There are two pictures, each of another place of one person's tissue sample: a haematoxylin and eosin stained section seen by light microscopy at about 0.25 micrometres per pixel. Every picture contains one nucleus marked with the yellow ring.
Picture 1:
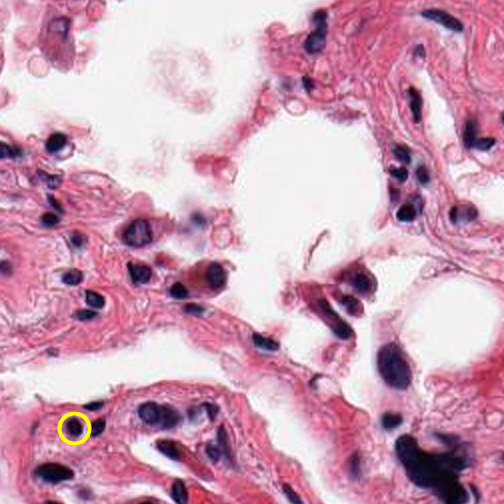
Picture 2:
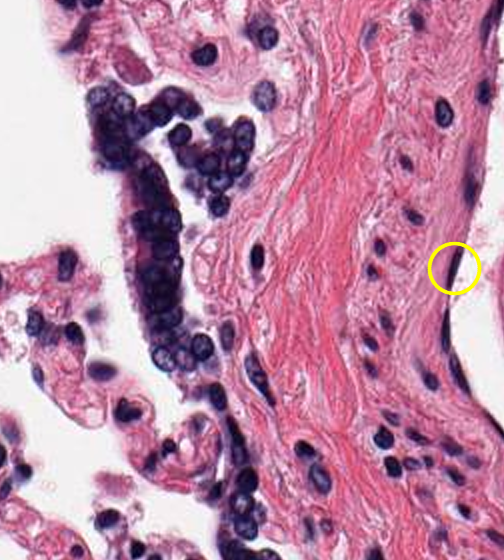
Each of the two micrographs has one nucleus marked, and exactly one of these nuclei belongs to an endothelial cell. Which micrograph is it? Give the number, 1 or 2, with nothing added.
2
